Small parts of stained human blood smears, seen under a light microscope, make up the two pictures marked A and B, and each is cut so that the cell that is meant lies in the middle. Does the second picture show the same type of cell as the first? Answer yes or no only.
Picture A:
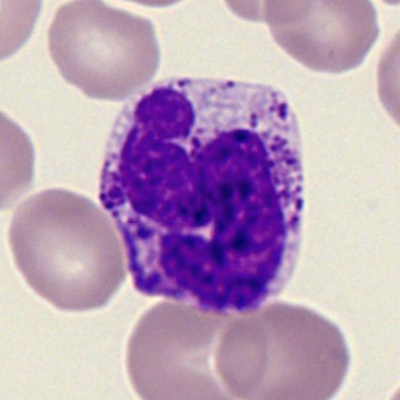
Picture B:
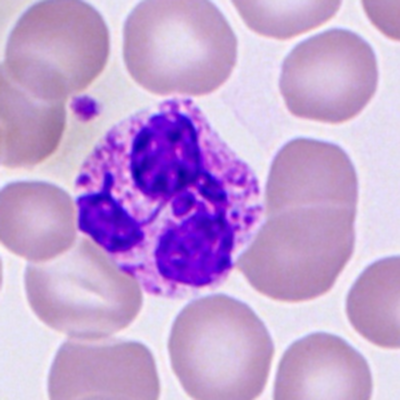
yes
